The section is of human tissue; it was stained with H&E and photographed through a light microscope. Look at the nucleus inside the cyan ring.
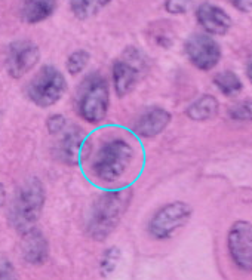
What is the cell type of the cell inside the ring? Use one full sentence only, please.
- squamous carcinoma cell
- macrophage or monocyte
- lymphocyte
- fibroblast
Labelled by cell type, the cell inside the ring is a squamous carcinoma cell.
